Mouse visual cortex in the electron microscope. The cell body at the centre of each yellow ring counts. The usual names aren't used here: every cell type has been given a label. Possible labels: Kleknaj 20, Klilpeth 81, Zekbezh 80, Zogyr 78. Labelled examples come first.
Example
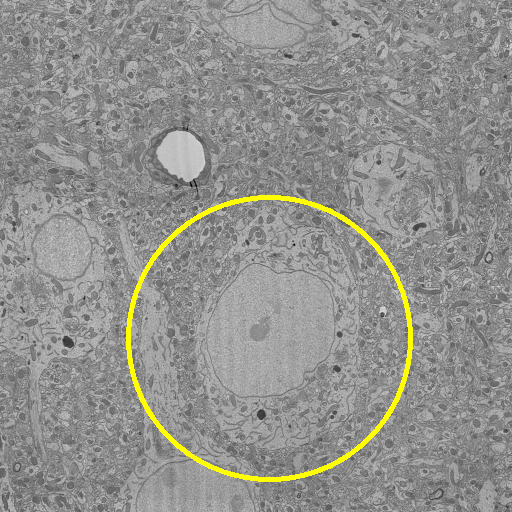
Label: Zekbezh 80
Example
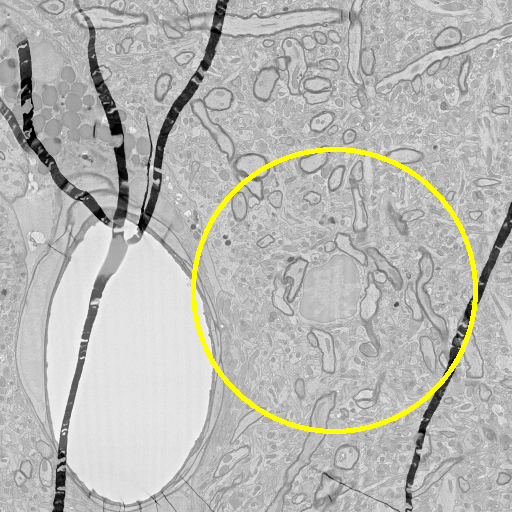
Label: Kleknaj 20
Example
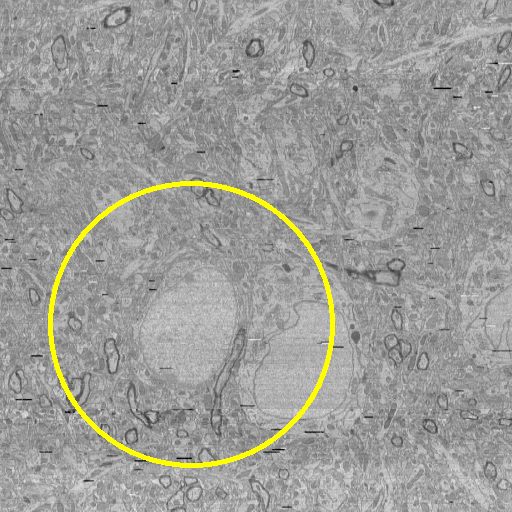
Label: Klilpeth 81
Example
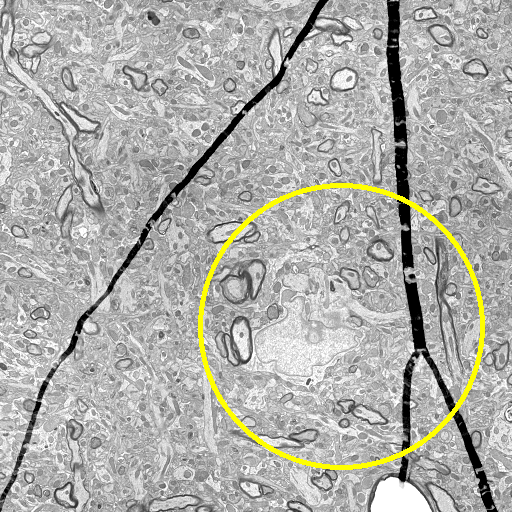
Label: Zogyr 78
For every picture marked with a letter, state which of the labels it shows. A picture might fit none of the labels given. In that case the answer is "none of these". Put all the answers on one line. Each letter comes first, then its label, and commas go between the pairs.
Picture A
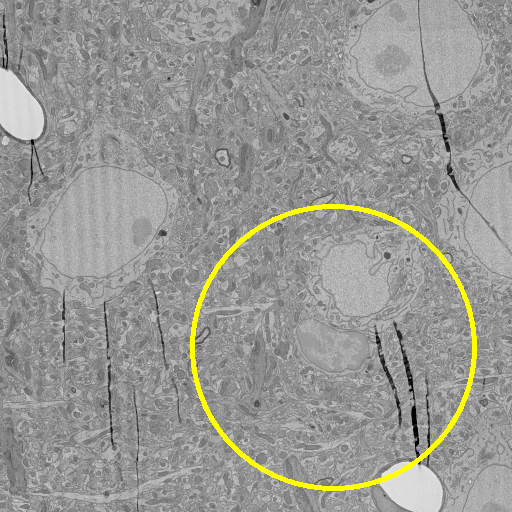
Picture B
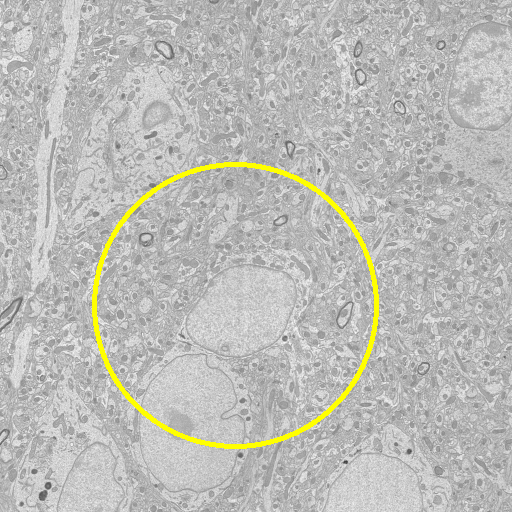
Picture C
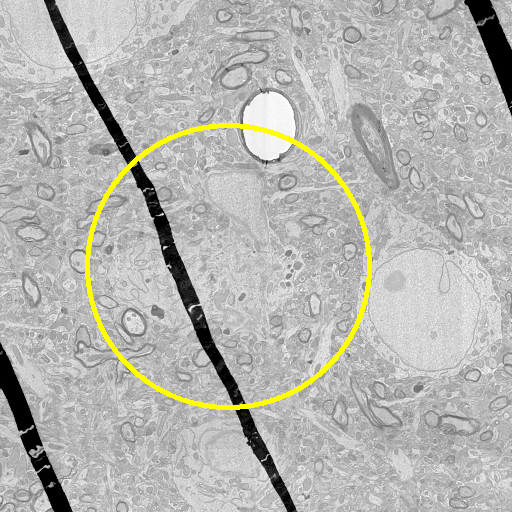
A Kleknaj 20, B Klilpeth 81, C Zogyr 78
